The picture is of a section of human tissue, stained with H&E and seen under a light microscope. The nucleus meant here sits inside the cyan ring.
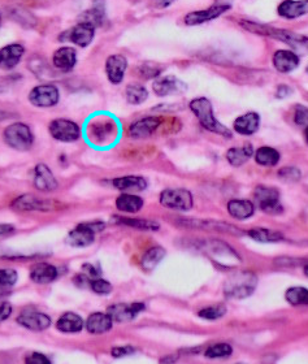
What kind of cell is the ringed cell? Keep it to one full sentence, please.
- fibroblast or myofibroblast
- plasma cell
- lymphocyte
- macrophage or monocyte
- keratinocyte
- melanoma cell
Right, so the ringed cell is a macrophage or monocyte, to answer that.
